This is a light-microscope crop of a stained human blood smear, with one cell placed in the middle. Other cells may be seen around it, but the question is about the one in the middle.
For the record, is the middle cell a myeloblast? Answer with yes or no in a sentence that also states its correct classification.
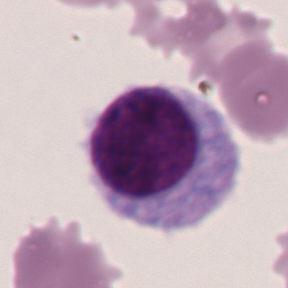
No, the central cell qualifies as a hairy cell rather than as a myeloblast.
